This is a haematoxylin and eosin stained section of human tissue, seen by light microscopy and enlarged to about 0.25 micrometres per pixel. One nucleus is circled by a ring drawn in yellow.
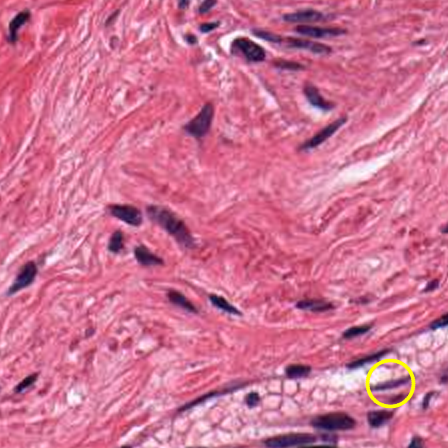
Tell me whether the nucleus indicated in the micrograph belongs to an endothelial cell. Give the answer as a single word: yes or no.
yes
